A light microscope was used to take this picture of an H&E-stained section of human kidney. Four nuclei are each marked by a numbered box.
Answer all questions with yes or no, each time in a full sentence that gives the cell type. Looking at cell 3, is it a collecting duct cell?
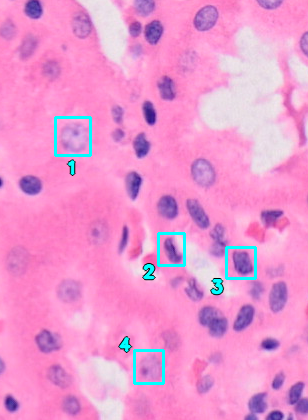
Yes, the cell that is numbered 3 is a collecting duct cell.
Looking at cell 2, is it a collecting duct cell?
Yes, looking at number 2, that cell is a collecting duct cell.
